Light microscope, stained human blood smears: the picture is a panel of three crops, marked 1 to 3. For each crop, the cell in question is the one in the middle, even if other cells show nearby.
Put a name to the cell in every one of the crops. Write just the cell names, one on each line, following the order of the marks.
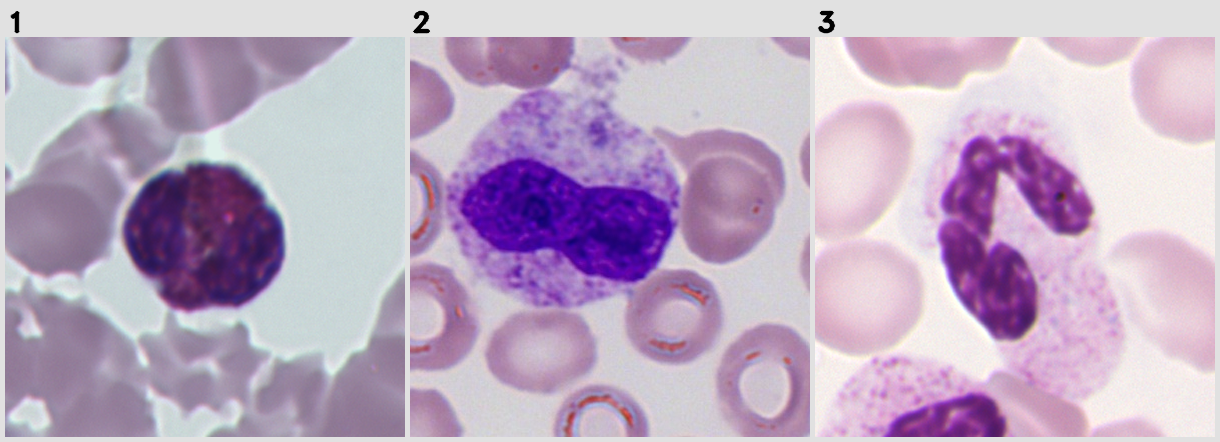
eosinophil
band neutrophil
segmented neutrophil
